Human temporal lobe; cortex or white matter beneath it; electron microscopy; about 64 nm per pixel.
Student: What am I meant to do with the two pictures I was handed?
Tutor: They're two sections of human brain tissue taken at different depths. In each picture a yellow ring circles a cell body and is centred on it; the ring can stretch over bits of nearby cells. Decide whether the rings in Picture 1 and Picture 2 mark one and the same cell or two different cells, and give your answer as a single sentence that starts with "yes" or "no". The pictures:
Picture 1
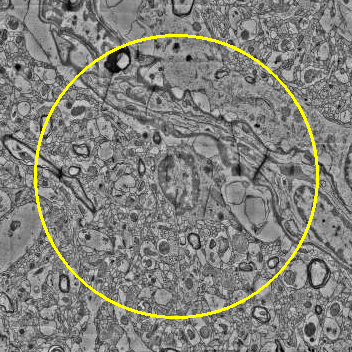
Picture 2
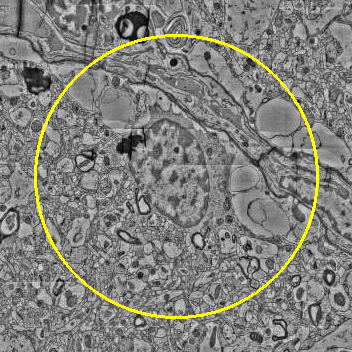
Yes, a single cell is the subject of both yellow rings.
